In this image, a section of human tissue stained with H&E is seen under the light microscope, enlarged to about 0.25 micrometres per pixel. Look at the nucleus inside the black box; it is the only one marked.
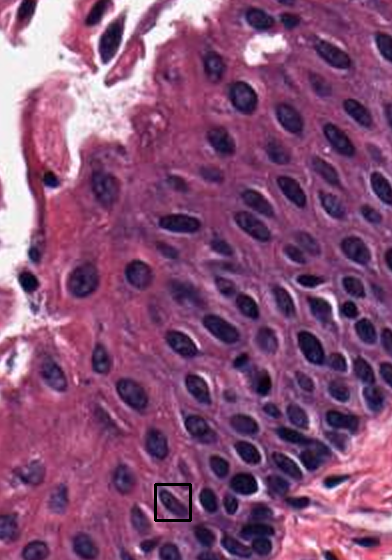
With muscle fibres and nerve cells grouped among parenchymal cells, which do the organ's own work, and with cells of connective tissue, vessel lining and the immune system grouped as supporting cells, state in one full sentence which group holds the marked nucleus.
Belonging to a parenchymal cell, the marked nucleus is that of a squamous epithelial cell.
